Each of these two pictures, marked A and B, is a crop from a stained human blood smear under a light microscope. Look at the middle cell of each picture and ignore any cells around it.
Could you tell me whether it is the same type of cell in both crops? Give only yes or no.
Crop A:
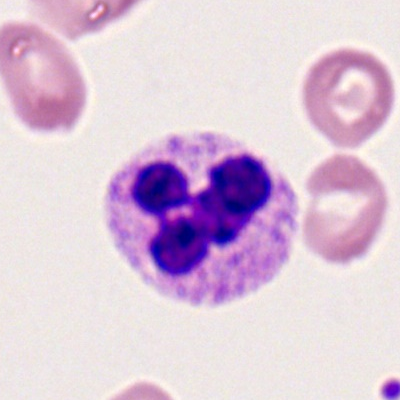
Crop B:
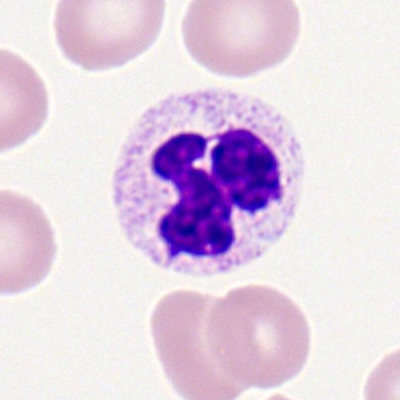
yes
